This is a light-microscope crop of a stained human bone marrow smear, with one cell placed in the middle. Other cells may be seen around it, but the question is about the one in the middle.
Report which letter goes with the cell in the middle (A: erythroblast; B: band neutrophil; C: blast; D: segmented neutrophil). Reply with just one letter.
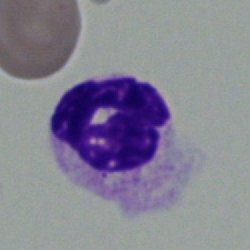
D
